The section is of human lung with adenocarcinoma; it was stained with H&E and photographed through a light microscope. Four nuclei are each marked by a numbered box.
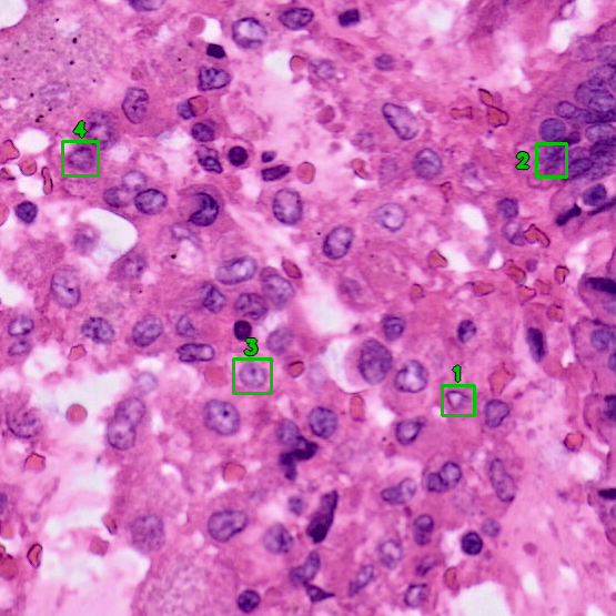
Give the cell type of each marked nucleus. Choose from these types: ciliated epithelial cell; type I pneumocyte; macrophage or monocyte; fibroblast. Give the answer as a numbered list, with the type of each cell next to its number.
1. macrophage or monocyte
2. ciliated epithelial cell
3. macrophage or monocyte
4. macrophage or monocyte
